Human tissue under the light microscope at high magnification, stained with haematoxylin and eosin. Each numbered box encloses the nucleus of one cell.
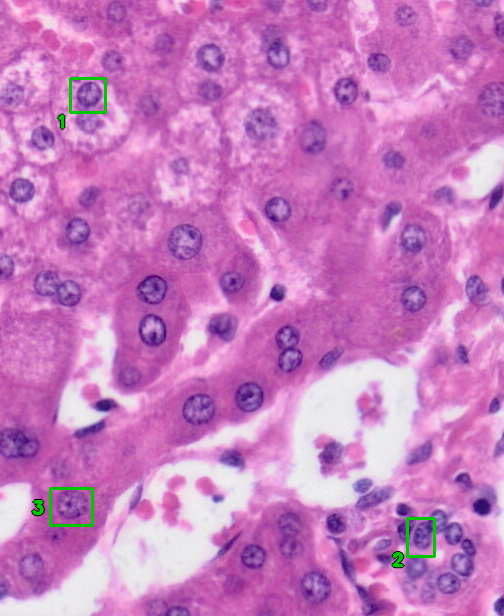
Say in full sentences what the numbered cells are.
Cell 1 is a hepatocyte, cell 2 is a cholangiocyte and cell 3 is a hepatocyte.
